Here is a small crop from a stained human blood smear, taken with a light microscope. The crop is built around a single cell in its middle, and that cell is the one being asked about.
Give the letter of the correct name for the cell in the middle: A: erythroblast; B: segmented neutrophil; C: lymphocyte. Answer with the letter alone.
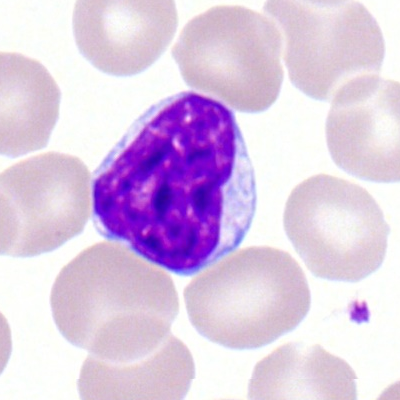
C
